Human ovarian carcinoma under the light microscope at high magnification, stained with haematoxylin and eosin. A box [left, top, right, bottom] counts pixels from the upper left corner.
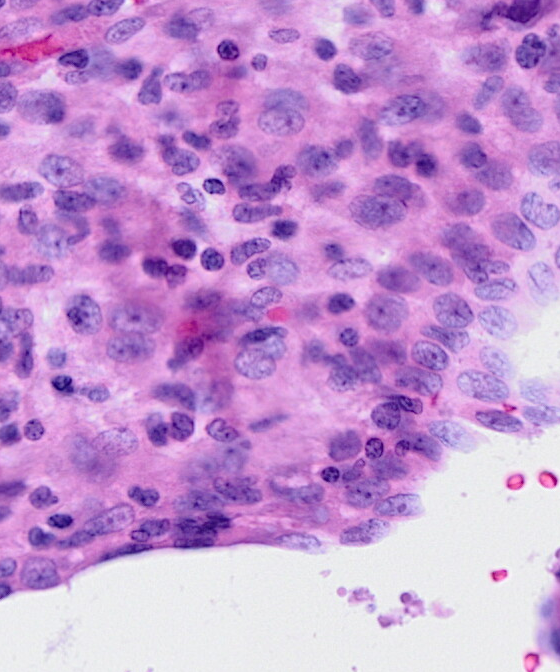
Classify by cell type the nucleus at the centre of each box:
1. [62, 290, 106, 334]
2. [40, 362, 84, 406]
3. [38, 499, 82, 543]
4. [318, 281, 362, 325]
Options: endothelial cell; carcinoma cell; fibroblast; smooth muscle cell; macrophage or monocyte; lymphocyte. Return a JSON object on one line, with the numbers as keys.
{"1": "fibroblast", "2": "lymphocyte", "3": "lymphocyte", "4": "lymphocyte"}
